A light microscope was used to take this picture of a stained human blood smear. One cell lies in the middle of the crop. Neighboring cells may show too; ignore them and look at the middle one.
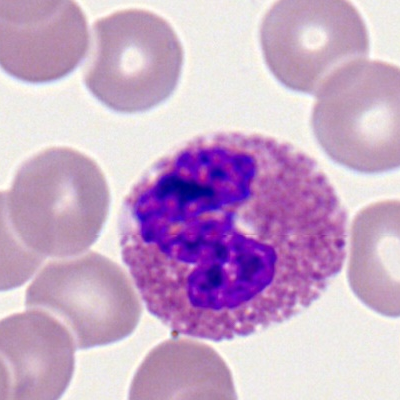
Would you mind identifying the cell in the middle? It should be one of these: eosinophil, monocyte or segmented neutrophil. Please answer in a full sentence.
The central cell shown in this smear crop is an eosinophil.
